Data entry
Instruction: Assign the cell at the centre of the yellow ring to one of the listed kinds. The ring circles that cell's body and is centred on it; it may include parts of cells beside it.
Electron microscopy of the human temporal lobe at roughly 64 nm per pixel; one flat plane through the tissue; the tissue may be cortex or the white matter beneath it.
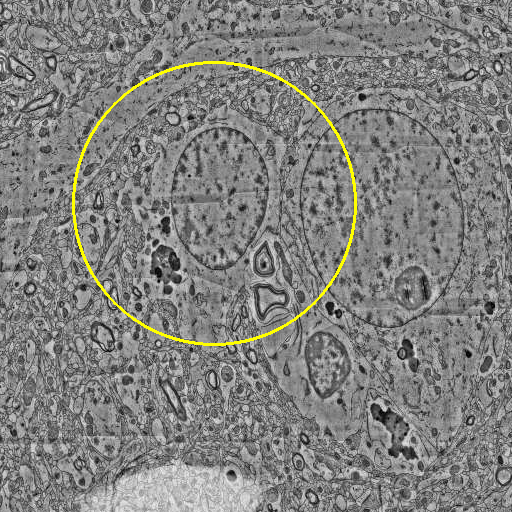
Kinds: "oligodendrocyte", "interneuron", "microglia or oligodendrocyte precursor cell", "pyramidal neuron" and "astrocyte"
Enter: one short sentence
The centre of the ring falls on an astrocyte.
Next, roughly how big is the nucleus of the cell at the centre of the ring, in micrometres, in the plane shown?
Roughly 9 by 6 micrometres is the size of the nucleus in this plane.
